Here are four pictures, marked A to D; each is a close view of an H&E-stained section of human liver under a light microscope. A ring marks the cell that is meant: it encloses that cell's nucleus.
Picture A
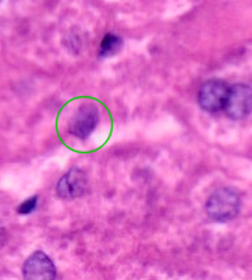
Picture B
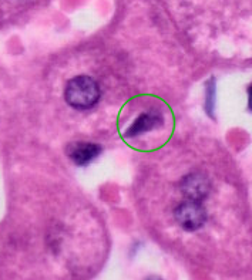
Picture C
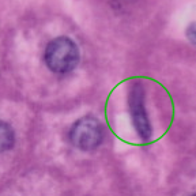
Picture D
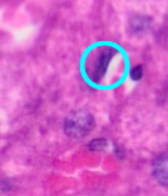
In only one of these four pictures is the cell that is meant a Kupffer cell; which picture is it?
C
